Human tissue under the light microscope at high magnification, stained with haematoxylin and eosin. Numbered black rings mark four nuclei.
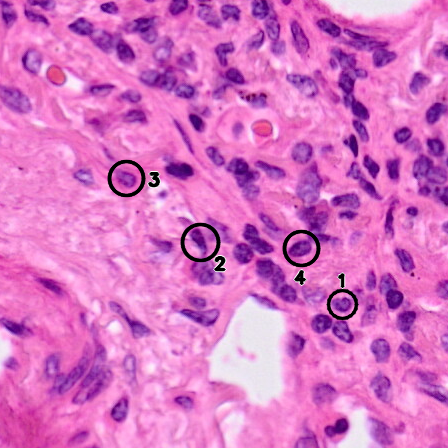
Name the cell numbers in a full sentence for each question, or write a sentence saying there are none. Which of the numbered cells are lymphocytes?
Cell 1 is a lymphocyte, while every other numbered cell is not.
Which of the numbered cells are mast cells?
Only the cell with number 3 is a mast cell.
